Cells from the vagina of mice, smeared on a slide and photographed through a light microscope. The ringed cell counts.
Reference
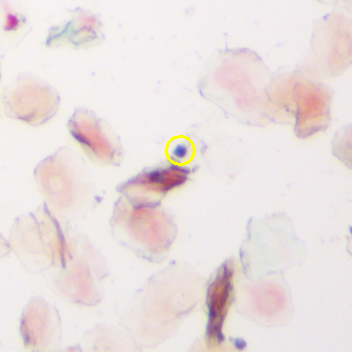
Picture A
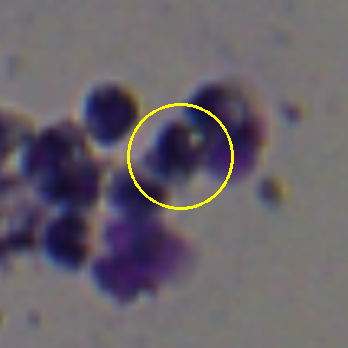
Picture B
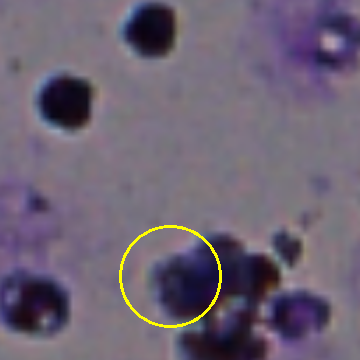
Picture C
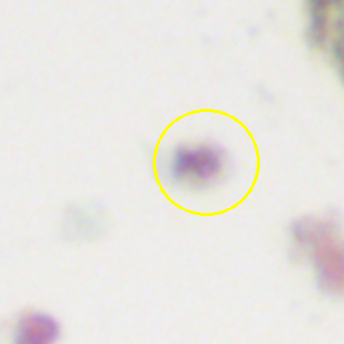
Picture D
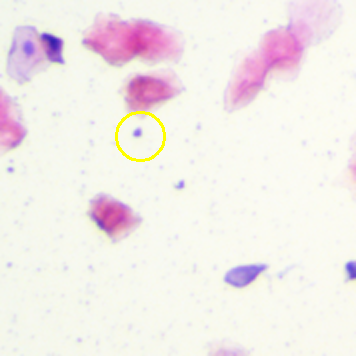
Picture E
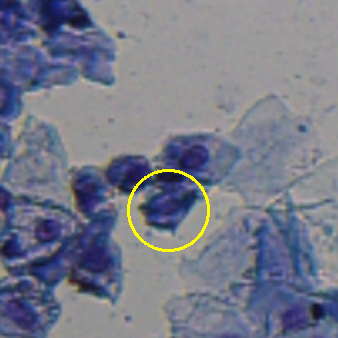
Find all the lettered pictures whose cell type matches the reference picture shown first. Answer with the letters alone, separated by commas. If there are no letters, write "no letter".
A, B, C, D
